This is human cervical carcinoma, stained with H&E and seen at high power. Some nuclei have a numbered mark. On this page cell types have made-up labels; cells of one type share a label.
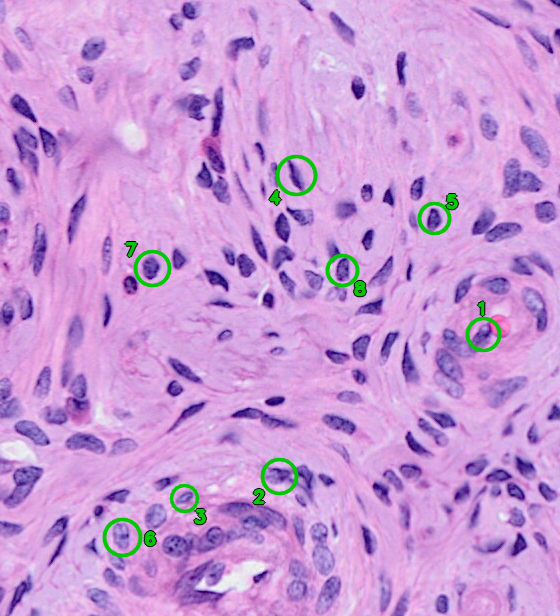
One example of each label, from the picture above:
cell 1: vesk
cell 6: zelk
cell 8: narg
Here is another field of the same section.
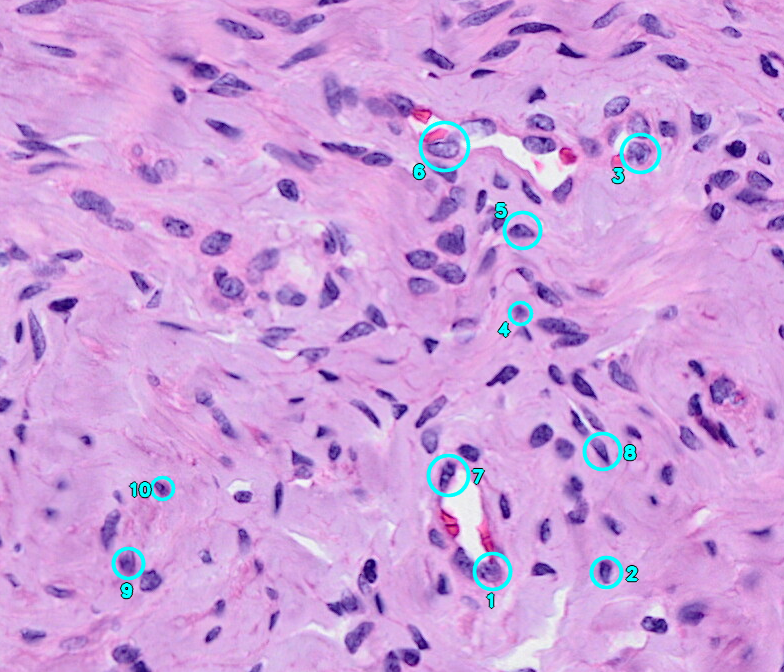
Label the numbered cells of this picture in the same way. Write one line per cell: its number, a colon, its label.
1: vesk
2: narg
3: vesk
4: narg
5: narg
6: vesk
7: vesk
8: narg
9: zelk
10: zelk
